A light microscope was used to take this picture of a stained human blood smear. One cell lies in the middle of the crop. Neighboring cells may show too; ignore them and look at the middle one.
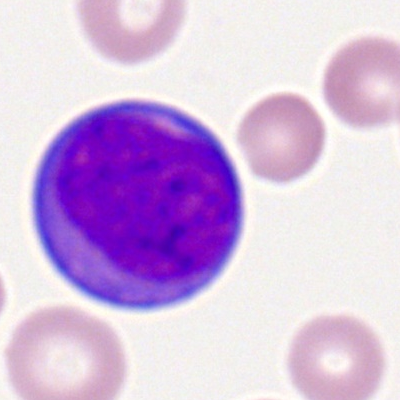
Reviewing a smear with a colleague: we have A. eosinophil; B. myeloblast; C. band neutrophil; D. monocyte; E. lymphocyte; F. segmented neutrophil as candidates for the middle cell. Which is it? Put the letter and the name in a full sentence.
Since the cell in the middle is a myeloblast, option B is correct.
